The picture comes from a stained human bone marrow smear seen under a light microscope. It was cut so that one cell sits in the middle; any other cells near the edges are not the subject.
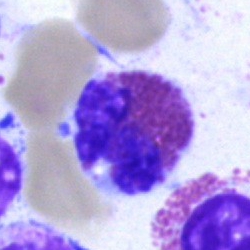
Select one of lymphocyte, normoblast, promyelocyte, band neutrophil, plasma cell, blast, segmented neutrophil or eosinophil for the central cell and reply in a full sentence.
In the crop, the cell of interest at the centre is an eosinophil.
